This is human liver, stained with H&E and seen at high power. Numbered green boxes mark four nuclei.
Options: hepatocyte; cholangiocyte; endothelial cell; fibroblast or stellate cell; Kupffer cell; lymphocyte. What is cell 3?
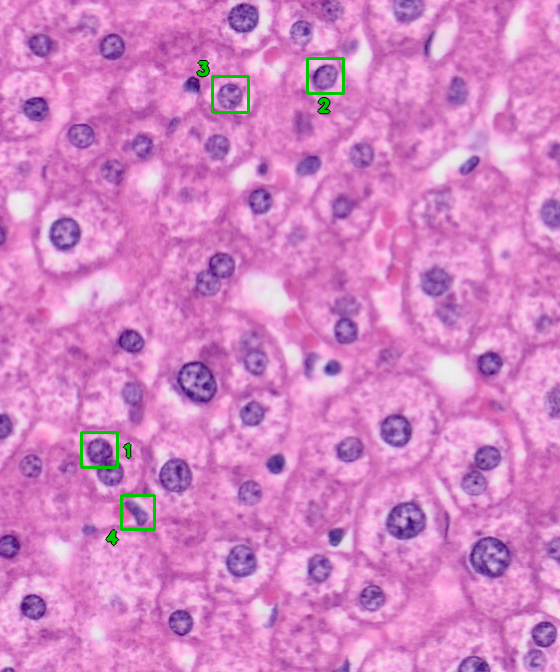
hepatocyte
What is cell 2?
hepatocyte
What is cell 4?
endothelial cell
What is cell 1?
hepatocyte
